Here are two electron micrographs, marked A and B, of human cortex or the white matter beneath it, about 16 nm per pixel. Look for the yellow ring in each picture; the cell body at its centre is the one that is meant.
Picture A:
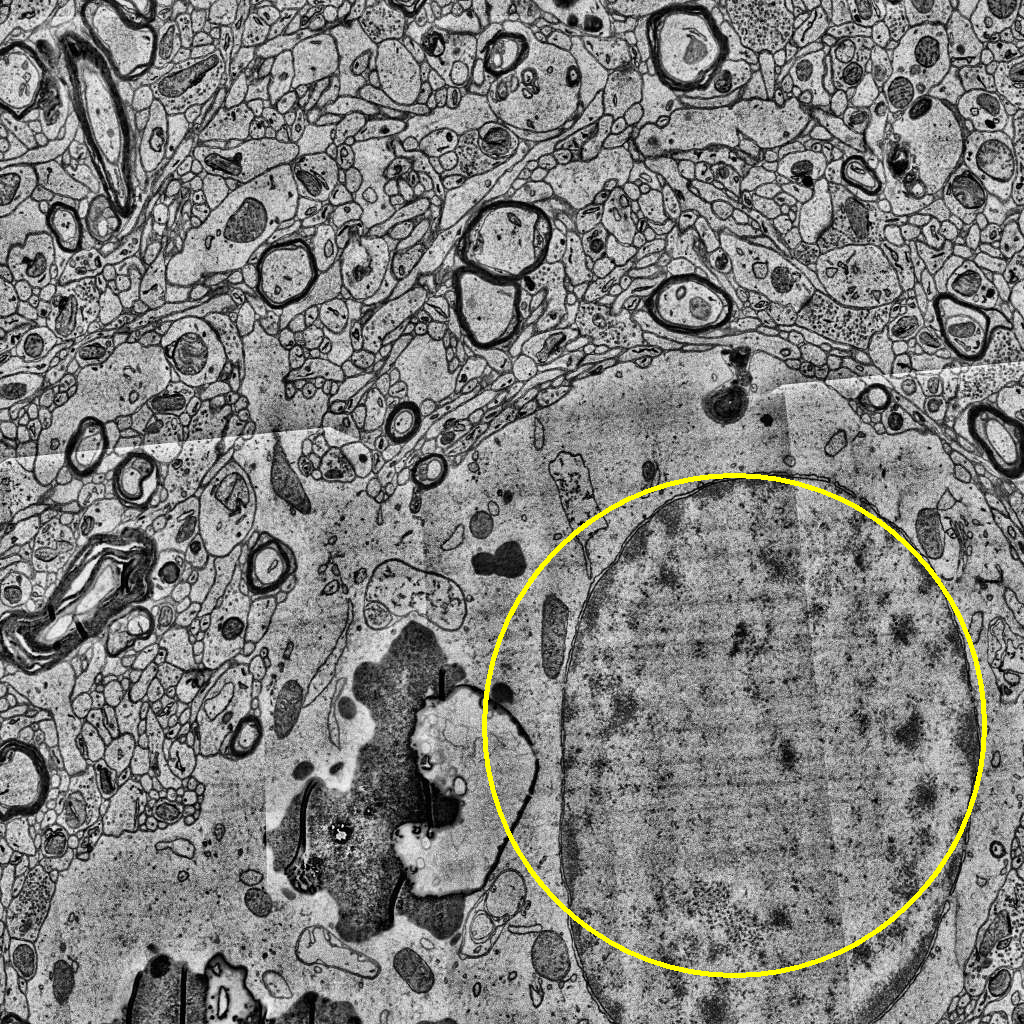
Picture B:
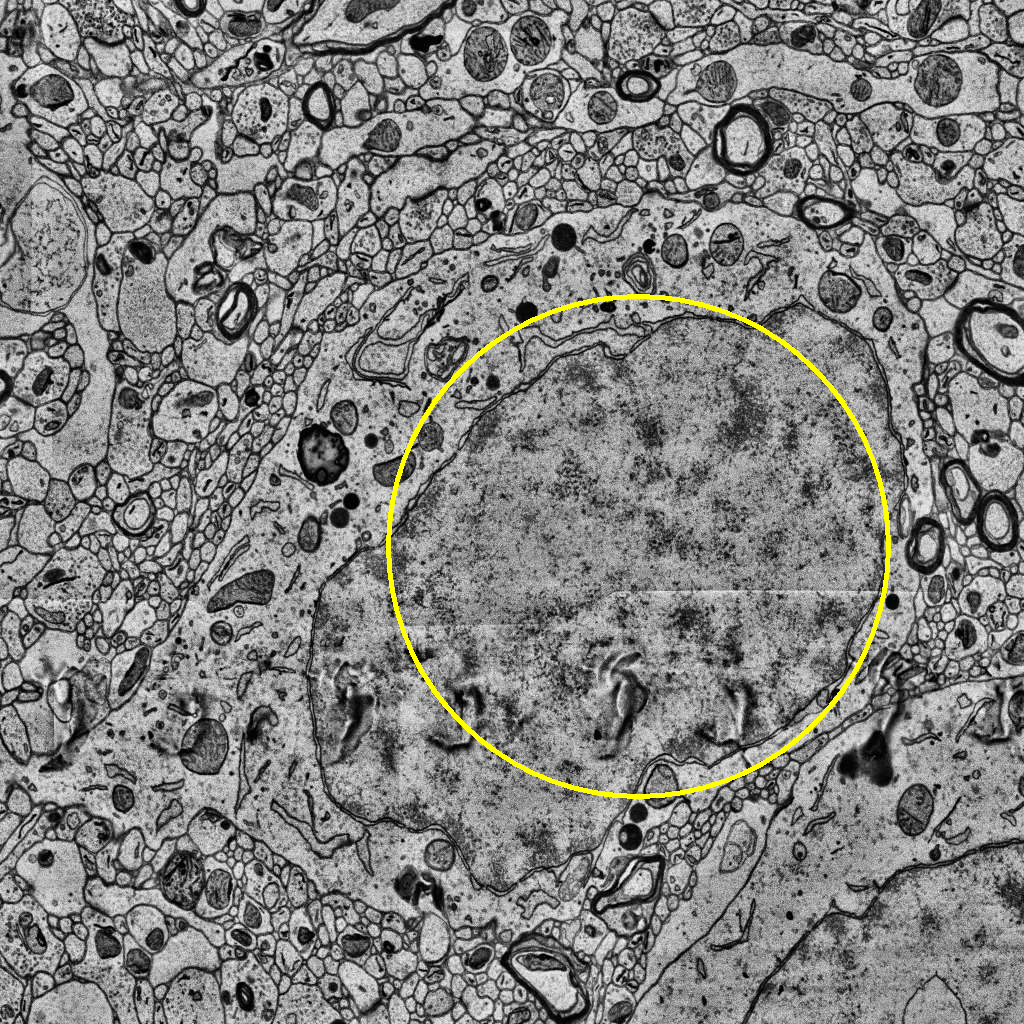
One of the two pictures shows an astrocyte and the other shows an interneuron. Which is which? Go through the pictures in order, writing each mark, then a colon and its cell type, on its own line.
A: astrocyte
B: interneuron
